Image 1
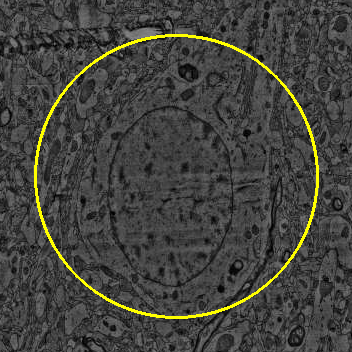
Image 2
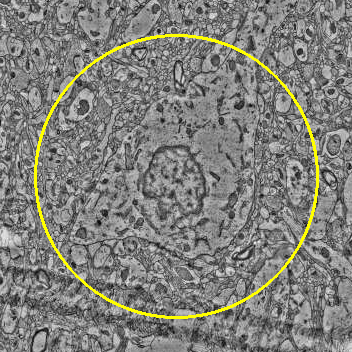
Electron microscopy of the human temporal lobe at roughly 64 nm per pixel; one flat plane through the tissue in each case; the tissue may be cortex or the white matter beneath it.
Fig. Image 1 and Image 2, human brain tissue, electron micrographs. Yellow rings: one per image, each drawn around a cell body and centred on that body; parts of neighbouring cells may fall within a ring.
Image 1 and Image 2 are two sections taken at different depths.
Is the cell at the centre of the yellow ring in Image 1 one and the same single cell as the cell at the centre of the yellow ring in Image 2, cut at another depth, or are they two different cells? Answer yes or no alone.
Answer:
yes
